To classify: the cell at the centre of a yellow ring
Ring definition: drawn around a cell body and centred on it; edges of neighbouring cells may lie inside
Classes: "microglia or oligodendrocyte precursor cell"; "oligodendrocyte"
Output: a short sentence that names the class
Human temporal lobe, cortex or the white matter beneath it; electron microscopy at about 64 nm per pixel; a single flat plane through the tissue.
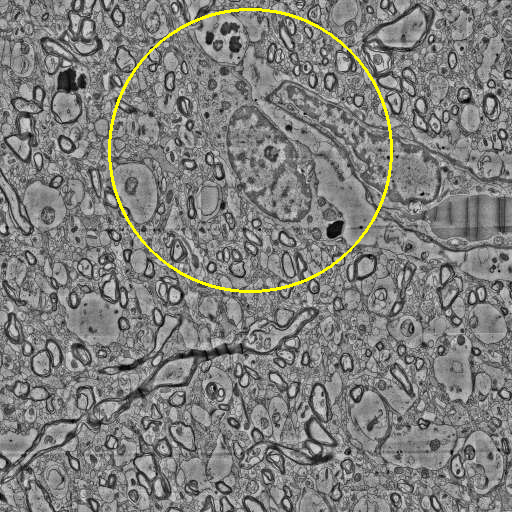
The ringed cell is an oligodendrocyte.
